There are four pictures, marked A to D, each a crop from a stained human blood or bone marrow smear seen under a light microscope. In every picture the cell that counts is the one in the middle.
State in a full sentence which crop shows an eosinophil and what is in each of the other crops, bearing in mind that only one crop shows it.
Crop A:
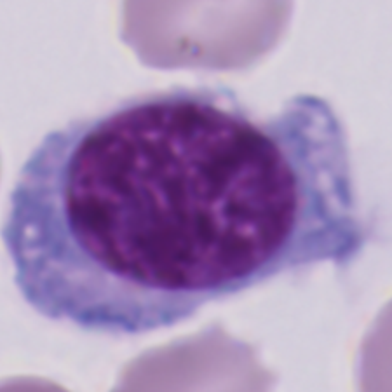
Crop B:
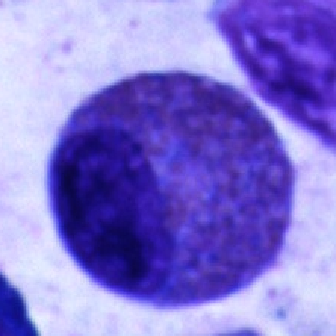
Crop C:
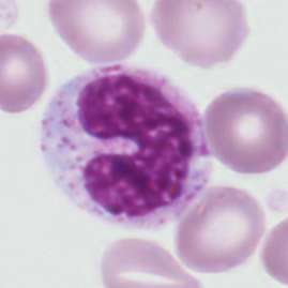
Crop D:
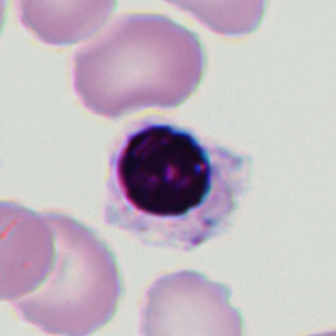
The cell at the centre of crop B is an eosinophil, while crop A is a plasma cell, crop C is a band neutrophil and crop D is an erythroblast.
